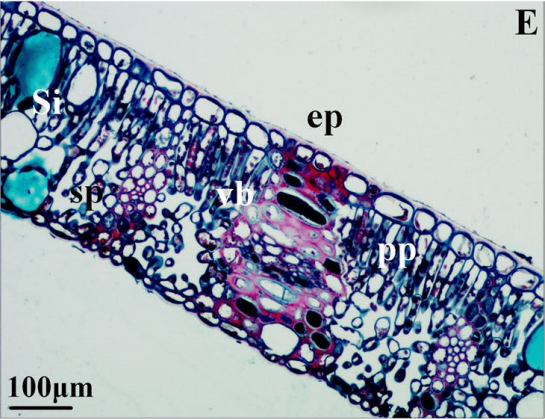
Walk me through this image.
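This is a cross-section of a leaf blade with a dorsiventral mesophyll. The upper epidermis is a single layer of regular, rounded-rectangular cells. Below it the palisade parenchyma forms a layer of elongated columnar cells standing perpendicular to the surface. The spongy parenchyma beneath consists of irregular cells with wide intercellular spaces. A vascular bundle with pink-red stained walled cells lies in the middle of the mesophyll, and large rounded idioblasts filled with blue-green material lie at the left edge.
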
